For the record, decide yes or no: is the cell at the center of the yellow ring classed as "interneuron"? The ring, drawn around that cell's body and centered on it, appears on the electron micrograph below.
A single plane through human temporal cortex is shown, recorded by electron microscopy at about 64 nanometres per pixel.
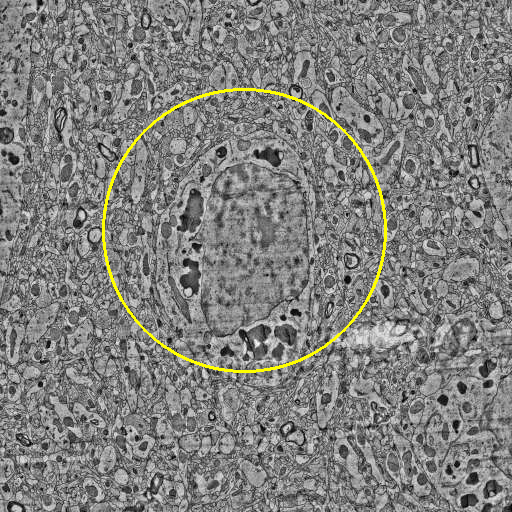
yes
